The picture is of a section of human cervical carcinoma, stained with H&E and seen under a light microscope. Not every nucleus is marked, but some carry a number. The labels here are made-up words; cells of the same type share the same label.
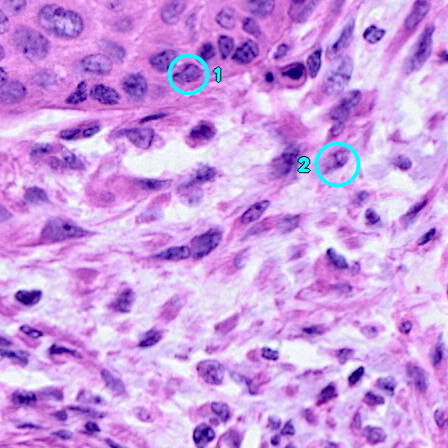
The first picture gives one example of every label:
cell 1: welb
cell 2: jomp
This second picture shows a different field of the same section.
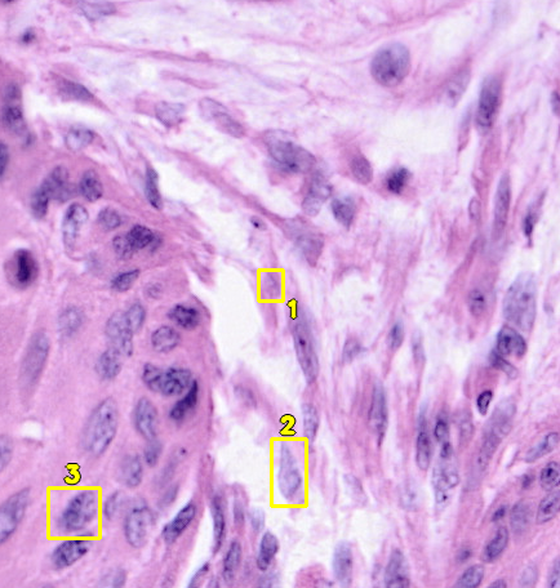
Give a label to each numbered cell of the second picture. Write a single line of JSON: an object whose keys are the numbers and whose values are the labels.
{"1": "jomp", "2": "jomp", "3": "welb"}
